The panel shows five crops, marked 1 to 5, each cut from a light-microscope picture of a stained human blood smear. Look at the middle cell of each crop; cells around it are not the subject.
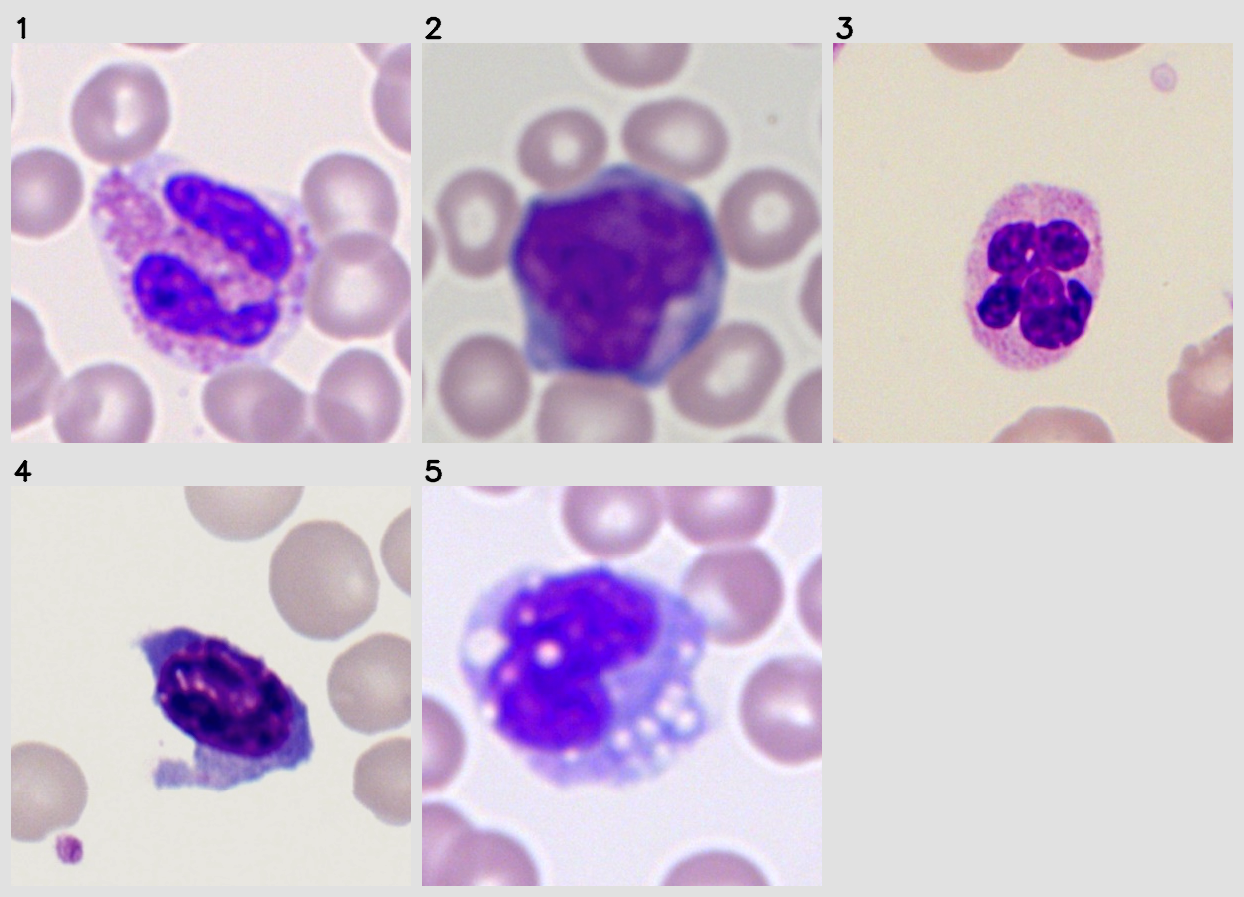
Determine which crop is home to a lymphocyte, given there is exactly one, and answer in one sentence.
Of the labelled crops, the one that shows a lymphocyte is crop 4.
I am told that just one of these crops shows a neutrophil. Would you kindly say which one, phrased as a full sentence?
In the set of crops, crop 3 is the one that contains a neutrophil.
